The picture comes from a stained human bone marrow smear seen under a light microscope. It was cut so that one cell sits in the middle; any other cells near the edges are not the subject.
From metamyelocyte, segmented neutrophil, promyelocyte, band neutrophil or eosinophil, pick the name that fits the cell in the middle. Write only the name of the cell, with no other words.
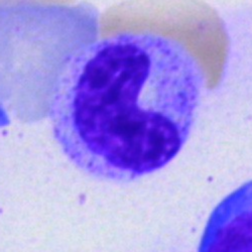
band neutrophil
